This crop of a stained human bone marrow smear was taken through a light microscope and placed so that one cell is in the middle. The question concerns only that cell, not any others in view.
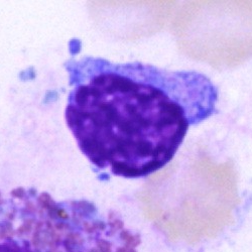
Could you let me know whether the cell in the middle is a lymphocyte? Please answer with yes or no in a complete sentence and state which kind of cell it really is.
Yes, what sits in the middle of the crop is a lymphocyte.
